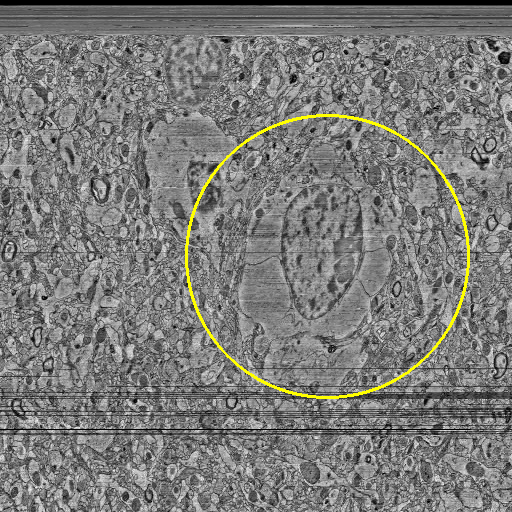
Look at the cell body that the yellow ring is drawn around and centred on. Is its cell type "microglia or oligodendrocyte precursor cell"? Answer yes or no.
no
